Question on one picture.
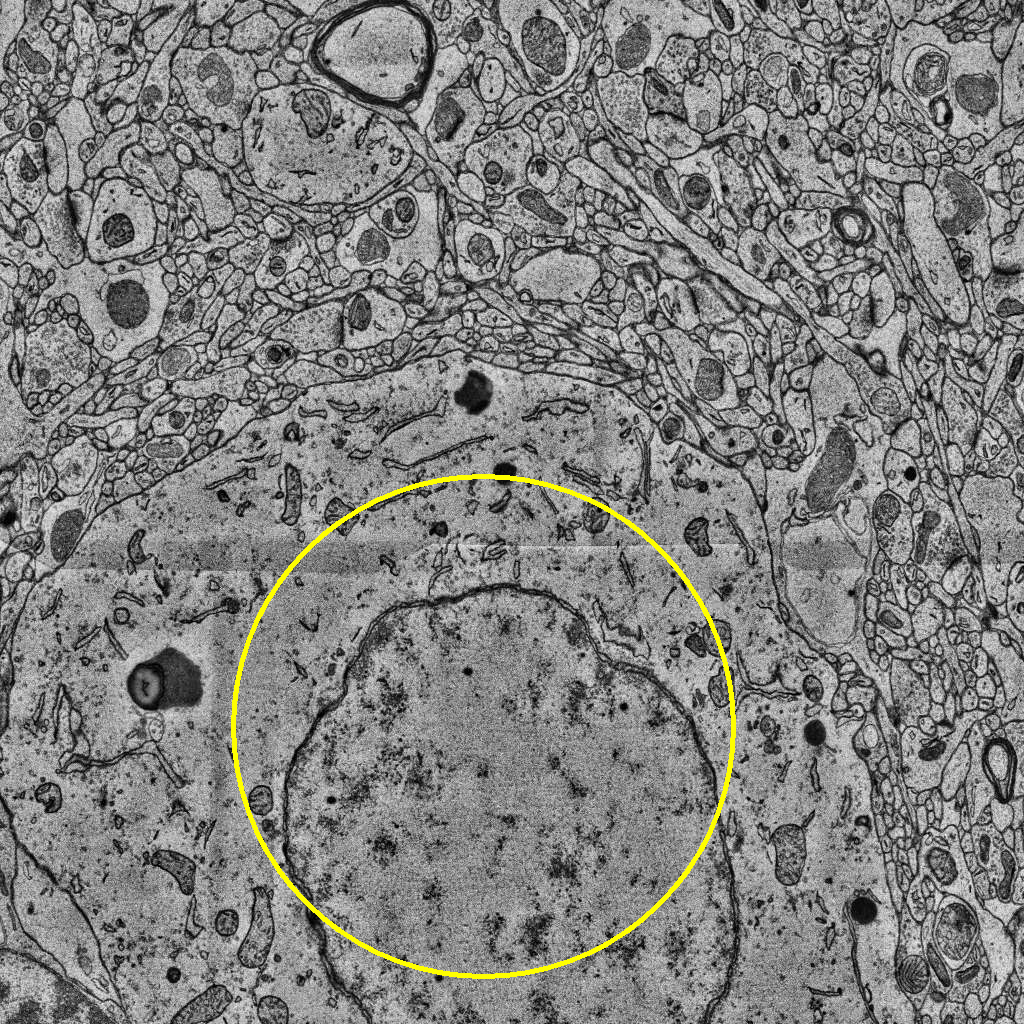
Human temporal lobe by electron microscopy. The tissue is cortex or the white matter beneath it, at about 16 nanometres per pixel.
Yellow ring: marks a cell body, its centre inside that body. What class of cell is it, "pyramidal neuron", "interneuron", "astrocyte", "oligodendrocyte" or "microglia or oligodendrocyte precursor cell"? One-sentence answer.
This is a pyramidal neuron, the cell at the ring's centre.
